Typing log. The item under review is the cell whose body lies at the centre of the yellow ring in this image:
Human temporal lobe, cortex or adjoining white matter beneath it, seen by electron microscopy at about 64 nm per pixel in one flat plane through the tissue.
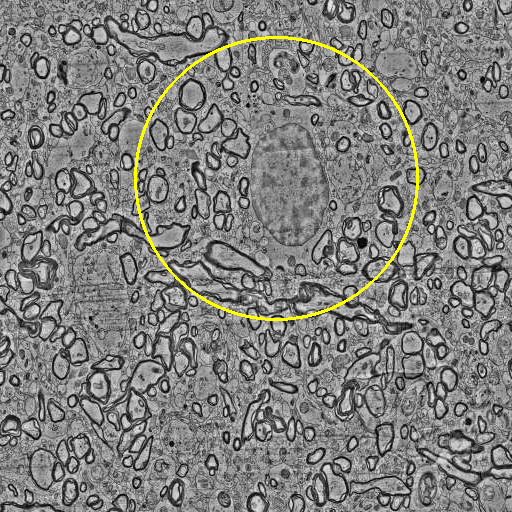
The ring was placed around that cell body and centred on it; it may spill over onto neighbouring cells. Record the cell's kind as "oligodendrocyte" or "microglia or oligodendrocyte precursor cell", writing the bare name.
oligodendrocyte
